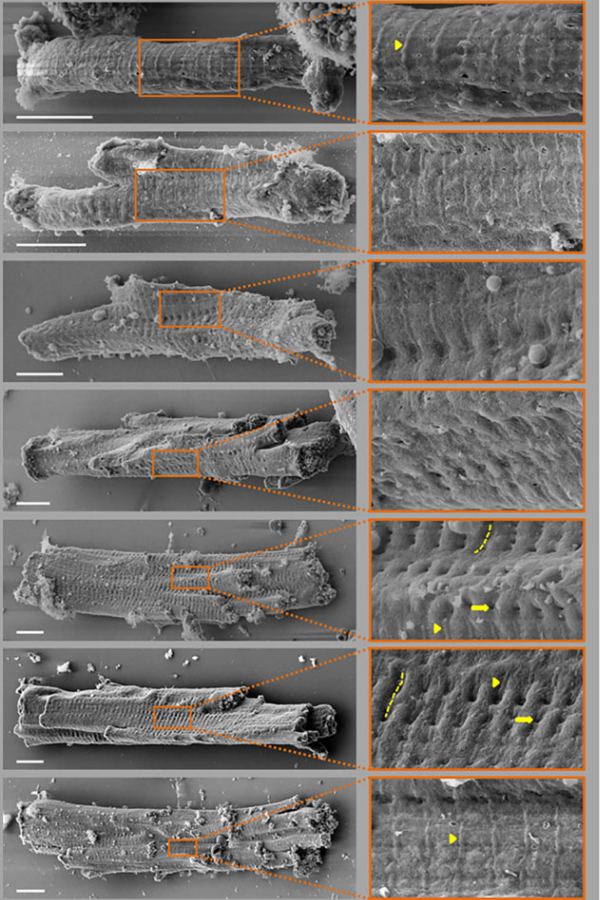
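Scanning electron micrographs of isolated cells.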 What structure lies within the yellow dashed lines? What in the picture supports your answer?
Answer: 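The dashed lines follow transverse furrows in the cell surface. The furrows recur at regular intervals along the cell.
Conclusion: Z‐grooves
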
